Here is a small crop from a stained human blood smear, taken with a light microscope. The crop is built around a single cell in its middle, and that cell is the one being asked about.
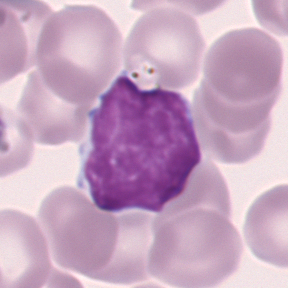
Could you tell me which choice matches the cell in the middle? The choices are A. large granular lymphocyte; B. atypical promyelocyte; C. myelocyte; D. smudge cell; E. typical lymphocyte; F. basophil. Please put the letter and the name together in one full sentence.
The one to choose is option E, as the cell in the middle is a typical lymphocyte.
